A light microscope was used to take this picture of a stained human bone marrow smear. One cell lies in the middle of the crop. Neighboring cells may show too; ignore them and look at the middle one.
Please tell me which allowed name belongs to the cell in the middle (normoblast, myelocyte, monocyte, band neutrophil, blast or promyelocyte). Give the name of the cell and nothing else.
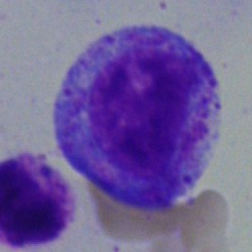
promyelocyte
